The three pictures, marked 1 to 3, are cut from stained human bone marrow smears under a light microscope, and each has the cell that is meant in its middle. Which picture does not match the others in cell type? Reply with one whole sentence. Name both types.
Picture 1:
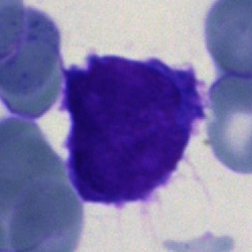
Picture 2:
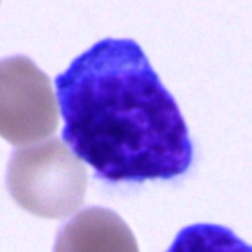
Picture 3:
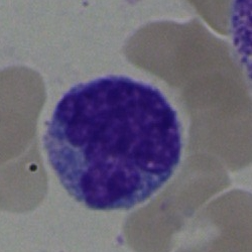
The different one is picture 3; it shows a monocyte, whereas all the others show blasts.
